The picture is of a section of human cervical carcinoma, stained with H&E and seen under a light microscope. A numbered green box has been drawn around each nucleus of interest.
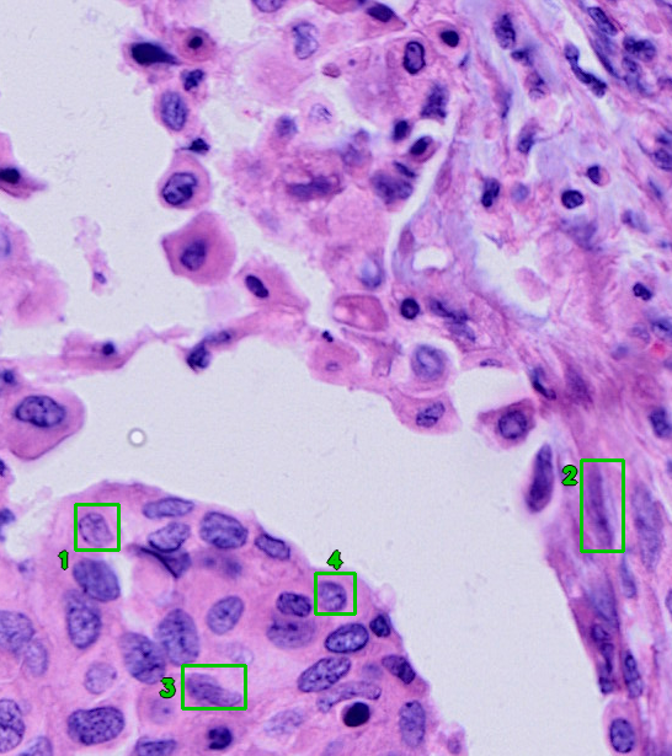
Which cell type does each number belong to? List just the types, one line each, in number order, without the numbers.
squamous carcinoma cell
fibroblast
squamous carcinoma cell
squamous carcinoma cell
